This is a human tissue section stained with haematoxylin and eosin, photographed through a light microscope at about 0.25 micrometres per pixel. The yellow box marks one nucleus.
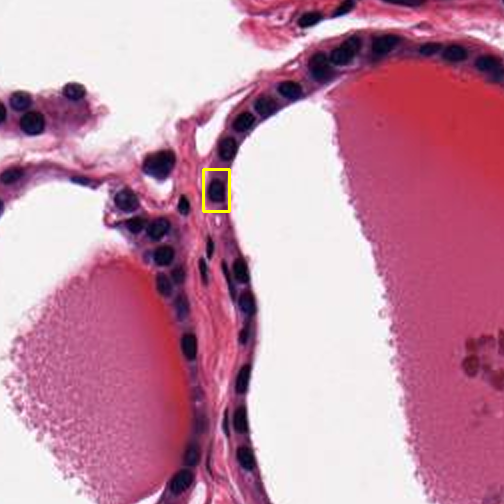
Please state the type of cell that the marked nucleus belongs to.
thyroid follicular cell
